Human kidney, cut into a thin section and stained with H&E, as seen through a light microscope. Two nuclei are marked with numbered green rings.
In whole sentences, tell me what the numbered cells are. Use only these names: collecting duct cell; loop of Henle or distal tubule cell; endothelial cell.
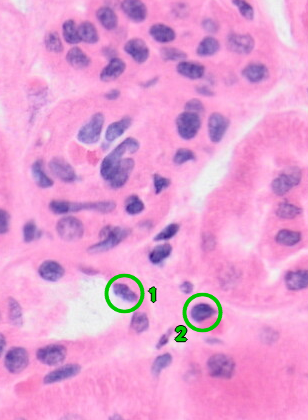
Cell 1 is a loop of Henle or distal tubule cell. Cell 2 is an endothelial cell.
